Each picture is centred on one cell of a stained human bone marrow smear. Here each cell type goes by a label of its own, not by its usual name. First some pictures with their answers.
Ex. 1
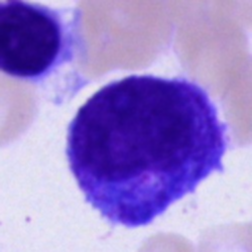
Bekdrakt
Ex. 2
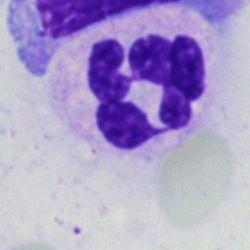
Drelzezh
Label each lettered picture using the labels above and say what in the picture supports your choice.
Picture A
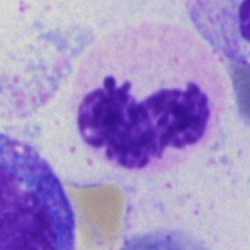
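Drelzezh. Evidence: The chromatin is dark purple and coarsely clumped.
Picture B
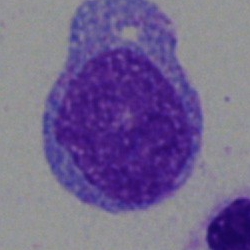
Bekdrakt. Evidence: The chromatin is finely stippled rather than coarsely clumped.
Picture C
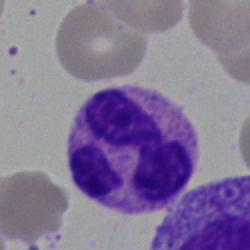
Drelzezh. Evidence: The chromatin is dark purple and coarsely clumped.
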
